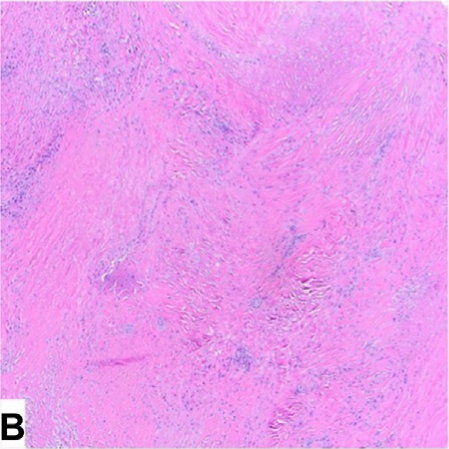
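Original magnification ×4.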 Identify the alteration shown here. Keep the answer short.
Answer: Palisading granulomas surrounding fibrin, with necrobiosis.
